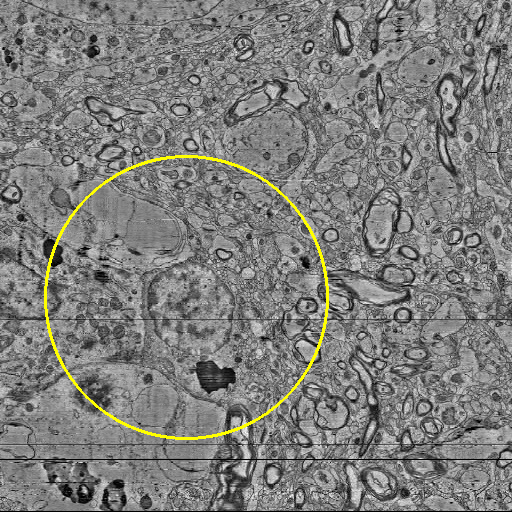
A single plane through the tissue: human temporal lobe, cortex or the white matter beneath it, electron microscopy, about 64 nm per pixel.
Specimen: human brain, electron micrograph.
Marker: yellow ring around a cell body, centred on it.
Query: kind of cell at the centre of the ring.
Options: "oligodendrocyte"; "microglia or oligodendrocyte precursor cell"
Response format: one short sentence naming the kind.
This cell body belongs to an oligodendrocyte.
